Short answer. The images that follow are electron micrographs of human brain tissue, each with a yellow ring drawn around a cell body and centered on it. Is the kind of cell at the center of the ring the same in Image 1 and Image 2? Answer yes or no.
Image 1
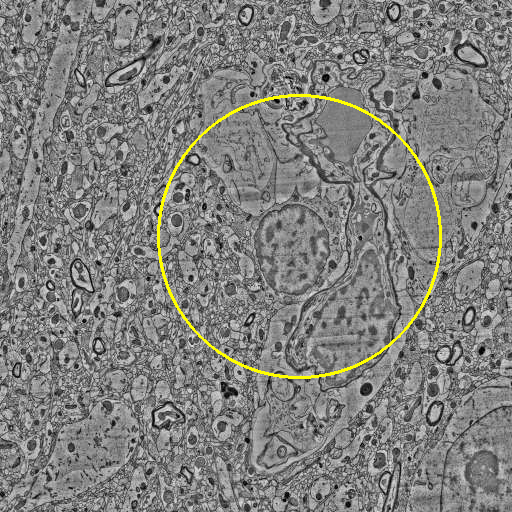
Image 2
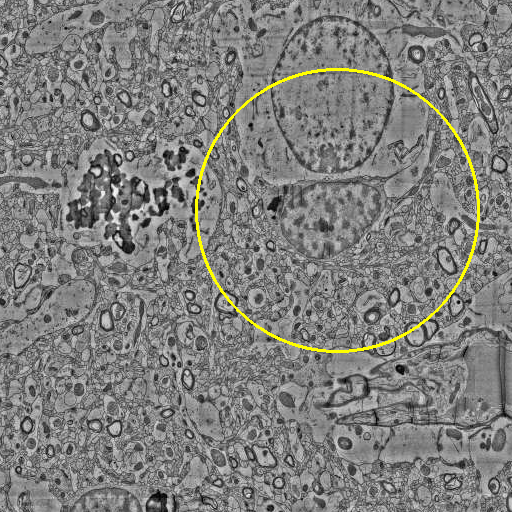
yes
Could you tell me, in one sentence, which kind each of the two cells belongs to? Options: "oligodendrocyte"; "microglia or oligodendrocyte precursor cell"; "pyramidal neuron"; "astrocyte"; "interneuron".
Each of the ringed cells, first and second, is an oligodendrocyte.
